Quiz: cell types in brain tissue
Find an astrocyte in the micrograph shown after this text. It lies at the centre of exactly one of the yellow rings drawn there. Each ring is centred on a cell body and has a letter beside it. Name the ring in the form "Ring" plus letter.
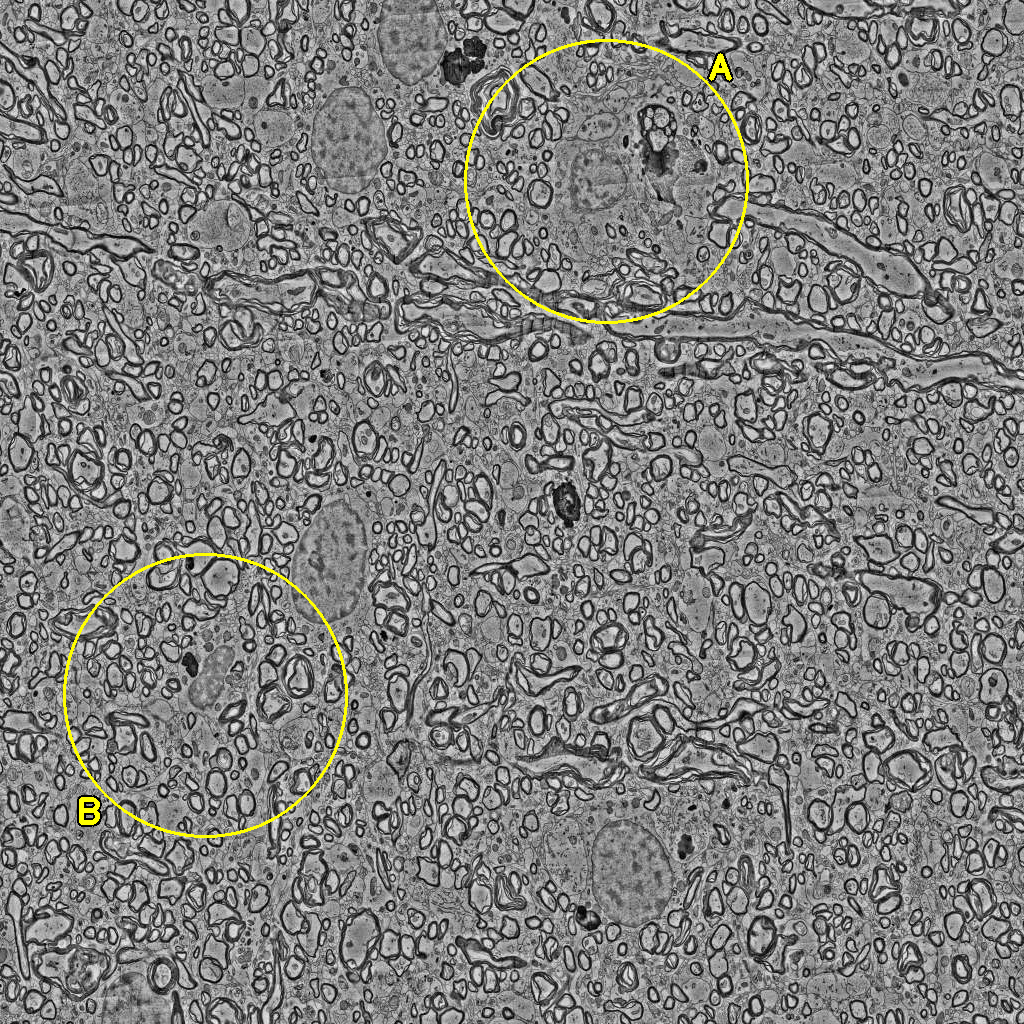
Ring A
